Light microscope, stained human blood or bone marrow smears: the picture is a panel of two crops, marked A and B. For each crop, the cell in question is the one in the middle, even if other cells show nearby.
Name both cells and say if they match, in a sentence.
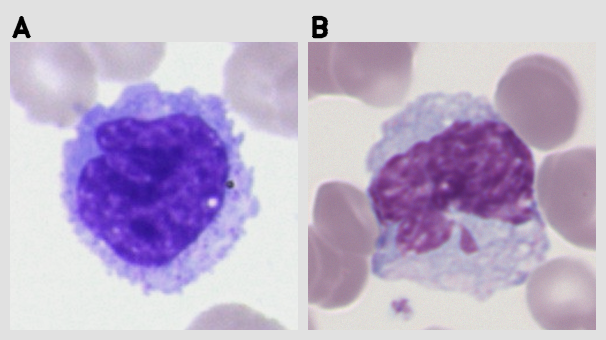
Yes, at the centre of both crops are monocytes.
